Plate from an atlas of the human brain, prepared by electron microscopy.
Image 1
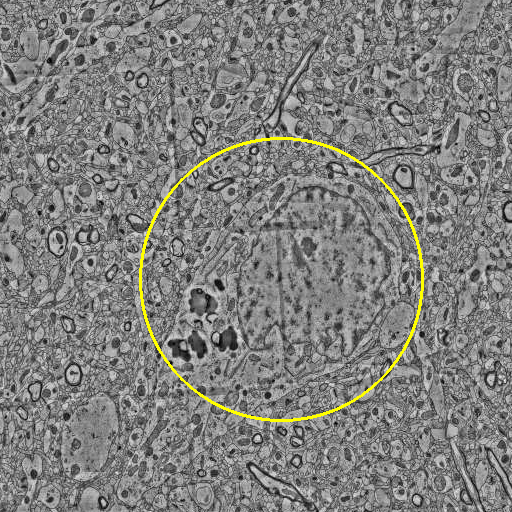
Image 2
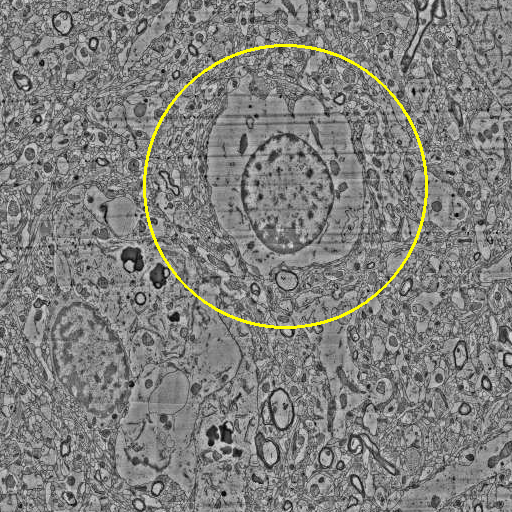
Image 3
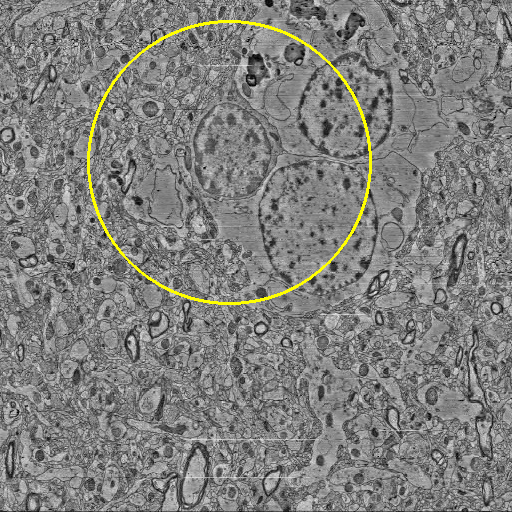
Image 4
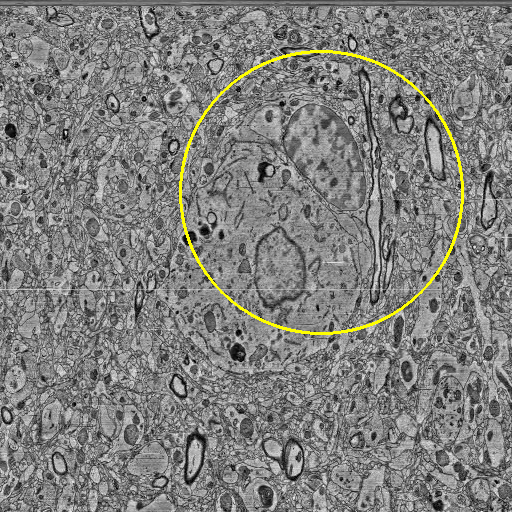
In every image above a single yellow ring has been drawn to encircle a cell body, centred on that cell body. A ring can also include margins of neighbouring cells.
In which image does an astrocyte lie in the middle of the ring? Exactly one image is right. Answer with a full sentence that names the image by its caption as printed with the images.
Image 2 holds the requested cell at the very centre of its ring.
